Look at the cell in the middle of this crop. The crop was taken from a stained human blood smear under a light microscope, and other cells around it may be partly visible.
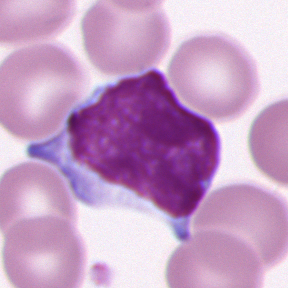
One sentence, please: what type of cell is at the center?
To answer, the cell in the center of the crop is a typical lymphocyte.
